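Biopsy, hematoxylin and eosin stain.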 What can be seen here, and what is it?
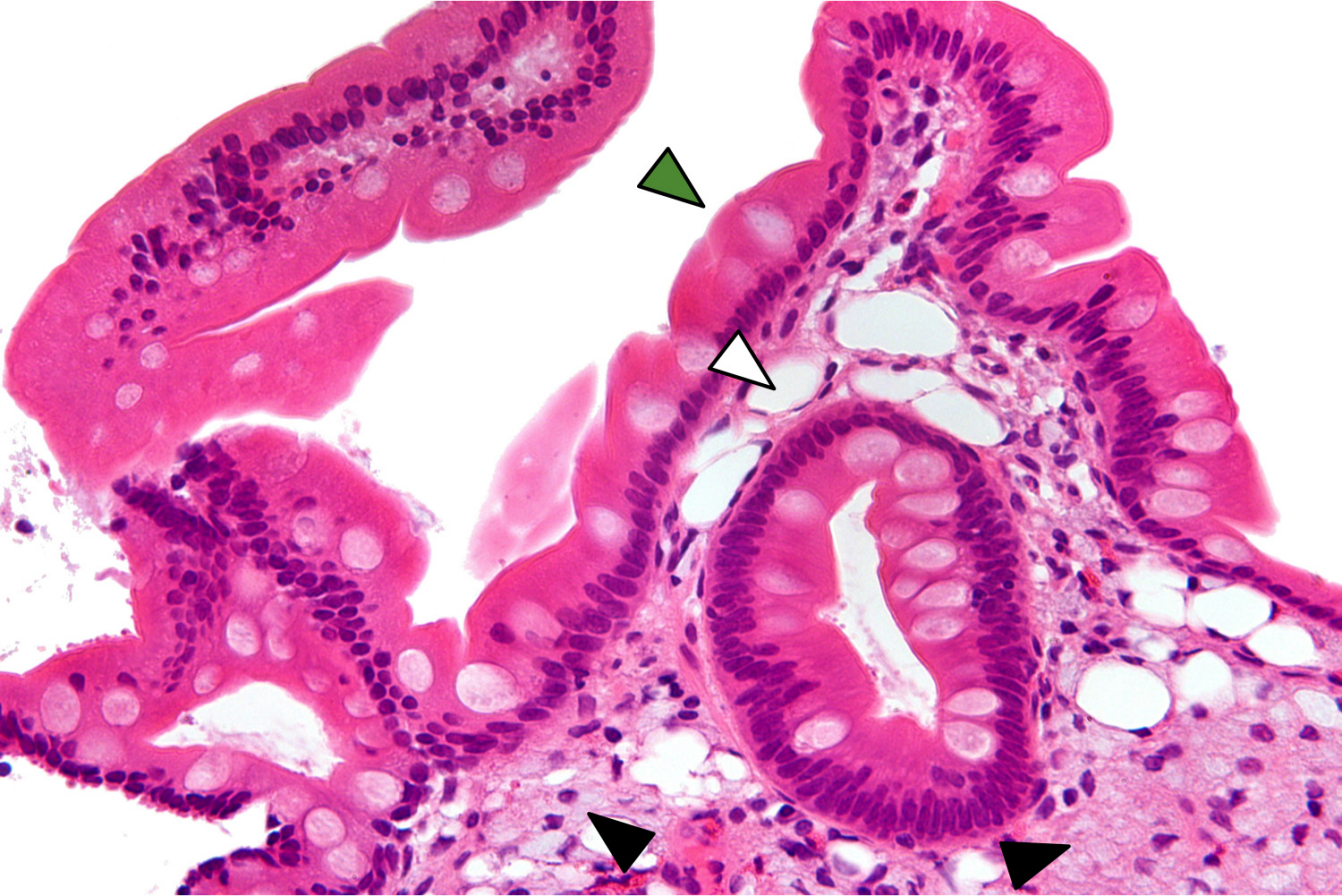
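Finger-like projections and a gland cut in section are lined by a single layer of tall columnar cells with elongated, basally placed purple nuclei and bright pink cytoplasm, interspersed with many pale, rounded goblet cells; the luminal surface looks smooth. Beneath the epithelium the loose connective tissue is crowded with rounded cells whose pale pink cytoplasm looks finely foamy, and it holds many clear, empty round spaces of varying size. Together this is small intestinal mucosa whose lamina propria is filled with foamy macrophages and deposits of extracellular fat, with the epithelial surface smoothed by blunting.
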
